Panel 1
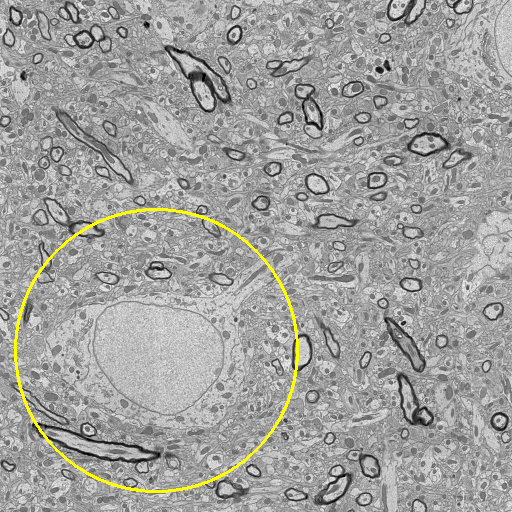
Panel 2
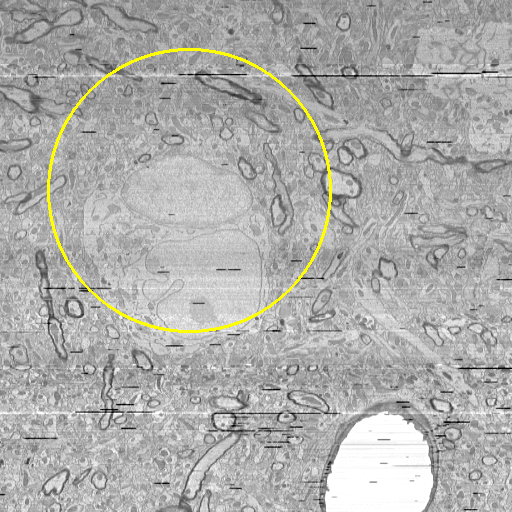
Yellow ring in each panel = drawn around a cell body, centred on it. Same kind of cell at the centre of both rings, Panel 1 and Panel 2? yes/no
no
